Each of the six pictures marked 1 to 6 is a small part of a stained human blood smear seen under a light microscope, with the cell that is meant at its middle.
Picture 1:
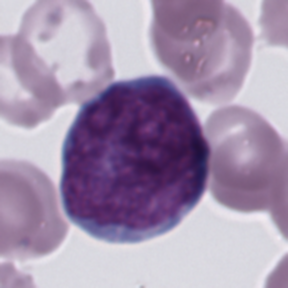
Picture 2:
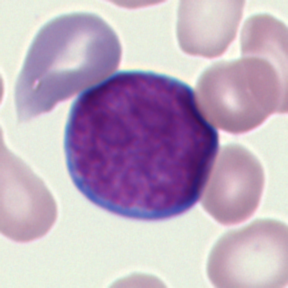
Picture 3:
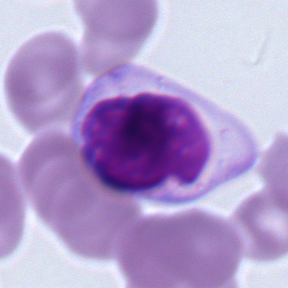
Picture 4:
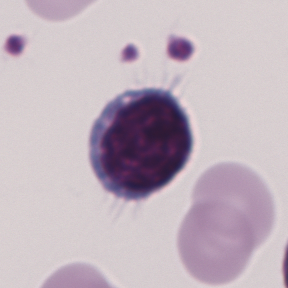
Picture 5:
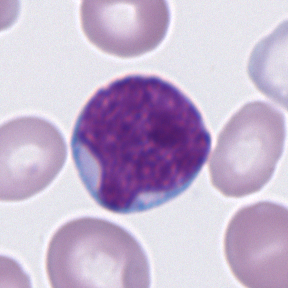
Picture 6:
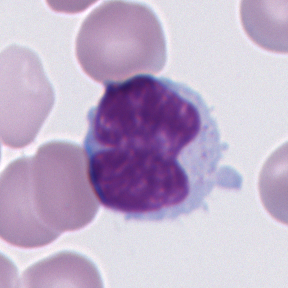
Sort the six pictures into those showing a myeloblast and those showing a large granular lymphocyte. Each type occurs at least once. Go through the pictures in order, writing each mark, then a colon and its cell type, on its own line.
1: myeloblast
2: myeloblast
3: large granular lymphocyte
4: large granular lymphocyte
5: myeloblast
6: large granular lymphocyte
